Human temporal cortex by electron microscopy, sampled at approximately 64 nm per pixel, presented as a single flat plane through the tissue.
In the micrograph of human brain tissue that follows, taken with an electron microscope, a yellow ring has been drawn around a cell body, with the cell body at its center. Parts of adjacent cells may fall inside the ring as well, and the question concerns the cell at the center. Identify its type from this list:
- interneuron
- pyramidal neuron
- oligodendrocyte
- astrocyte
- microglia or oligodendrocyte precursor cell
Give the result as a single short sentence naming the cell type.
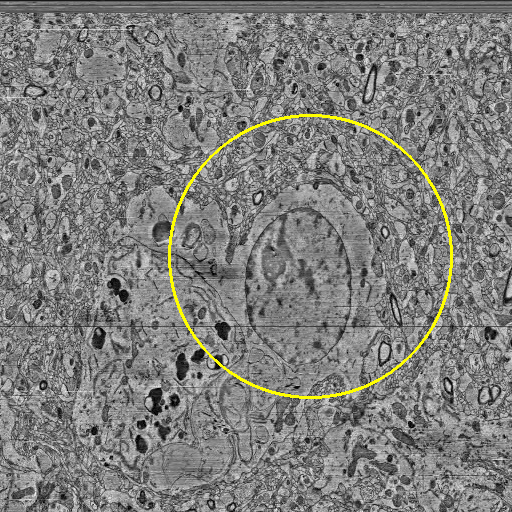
The ring is centered on an astrocyte.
